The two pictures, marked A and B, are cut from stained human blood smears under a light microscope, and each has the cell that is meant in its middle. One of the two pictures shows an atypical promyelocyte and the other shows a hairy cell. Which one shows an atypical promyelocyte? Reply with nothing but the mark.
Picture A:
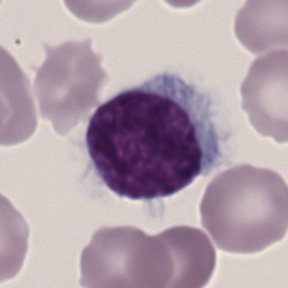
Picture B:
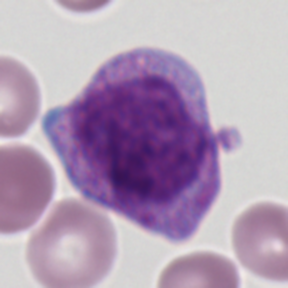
B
